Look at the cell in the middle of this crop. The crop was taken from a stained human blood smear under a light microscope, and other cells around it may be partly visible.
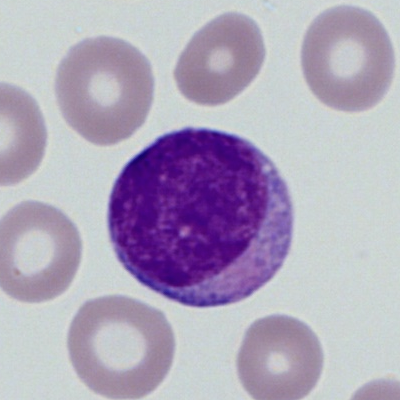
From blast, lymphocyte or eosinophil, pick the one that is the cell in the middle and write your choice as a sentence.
The centered cell in this crop is a blast.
